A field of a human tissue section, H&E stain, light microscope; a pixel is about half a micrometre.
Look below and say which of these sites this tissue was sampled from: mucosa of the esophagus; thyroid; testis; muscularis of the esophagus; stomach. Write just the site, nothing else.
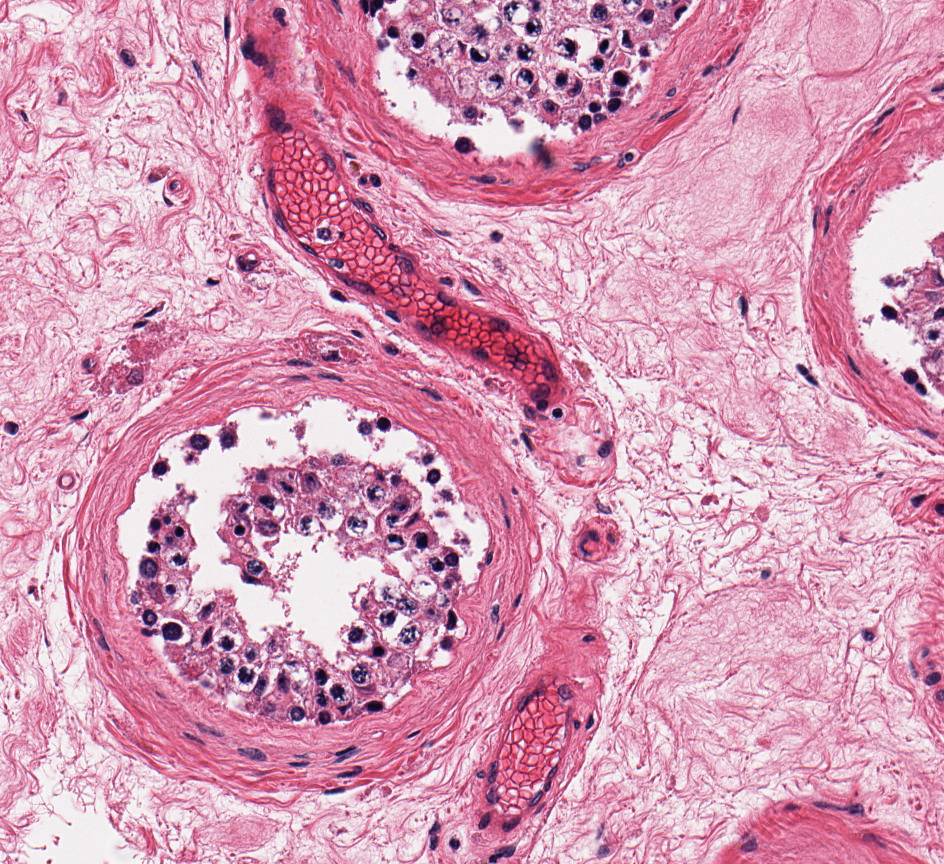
testis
